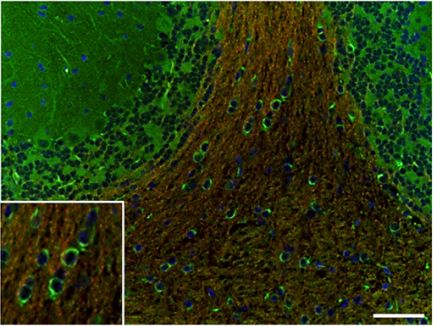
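Cerebellar tissue with a white matter tract running through its centre, flanked by the densely packed small round blue nuclei of the granular layer, and a cell-poor, evenly green molecular layer at the upper left. Within the tract, fine red-orange fibres run in parallel bundles and fan outward. Scattered among the fibres are small cells whose bodies are outlined by bright green rings surrounding a blue nucleus; the inset enlarges several of these ringed cells lying between the fibres. The green rings stay separate from the red fibrous staining rather than overlapping it.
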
